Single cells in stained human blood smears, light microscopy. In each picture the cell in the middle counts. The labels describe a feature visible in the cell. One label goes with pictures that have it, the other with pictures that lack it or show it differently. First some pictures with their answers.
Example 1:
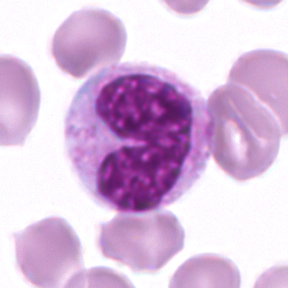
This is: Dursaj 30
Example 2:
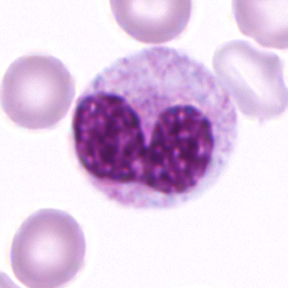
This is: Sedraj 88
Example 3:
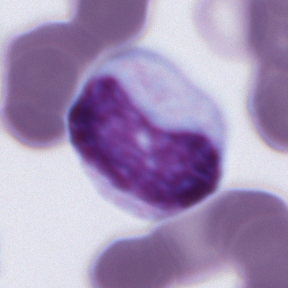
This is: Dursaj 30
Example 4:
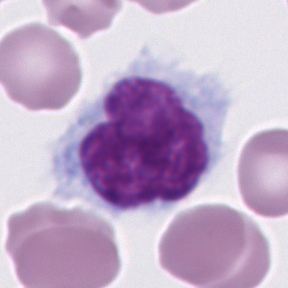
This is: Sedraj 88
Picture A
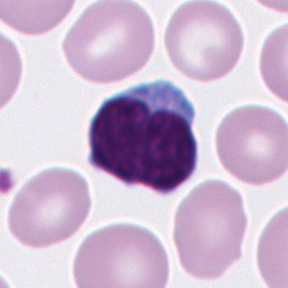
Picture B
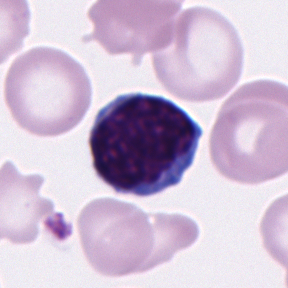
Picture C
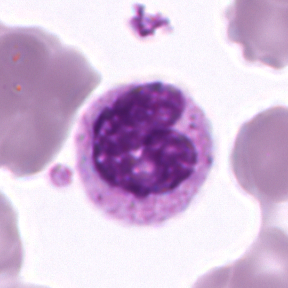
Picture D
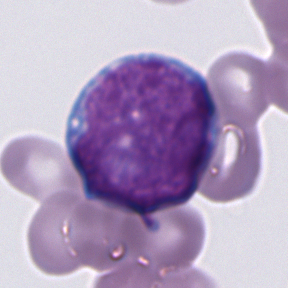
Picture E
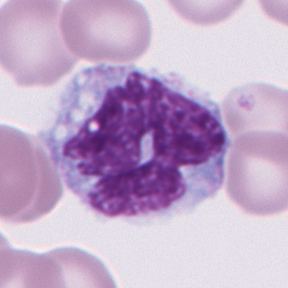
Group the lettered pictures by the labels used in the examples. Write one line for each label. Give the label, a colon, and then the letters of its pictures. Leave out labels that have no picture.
Dursaj 30: B, C, D
Sedraj 88: A, E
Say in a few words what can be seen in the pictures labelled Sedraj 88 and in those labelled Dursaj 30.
Sedraj 88: lobed nucleus; Dursaj 30: single compact nucleus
